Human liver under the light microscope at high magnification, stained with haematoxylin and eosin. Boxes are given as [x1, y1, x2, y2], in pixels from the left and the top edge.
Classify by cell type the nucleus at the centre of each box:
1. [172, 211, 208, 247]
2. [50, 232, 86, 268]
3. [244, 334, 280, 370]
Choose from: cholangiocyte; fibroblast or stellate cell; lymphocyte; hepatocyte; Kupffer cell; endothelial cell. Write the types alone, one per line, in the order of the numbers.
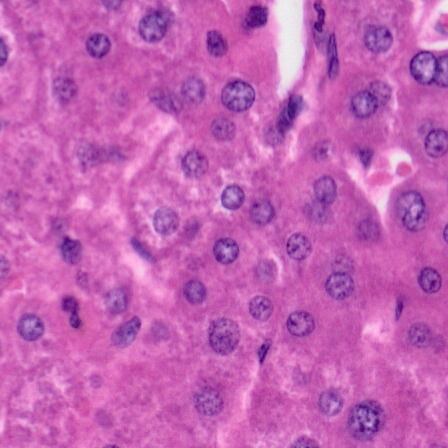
hepatocyte
endothelial cell
fibroblast or stellate cell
